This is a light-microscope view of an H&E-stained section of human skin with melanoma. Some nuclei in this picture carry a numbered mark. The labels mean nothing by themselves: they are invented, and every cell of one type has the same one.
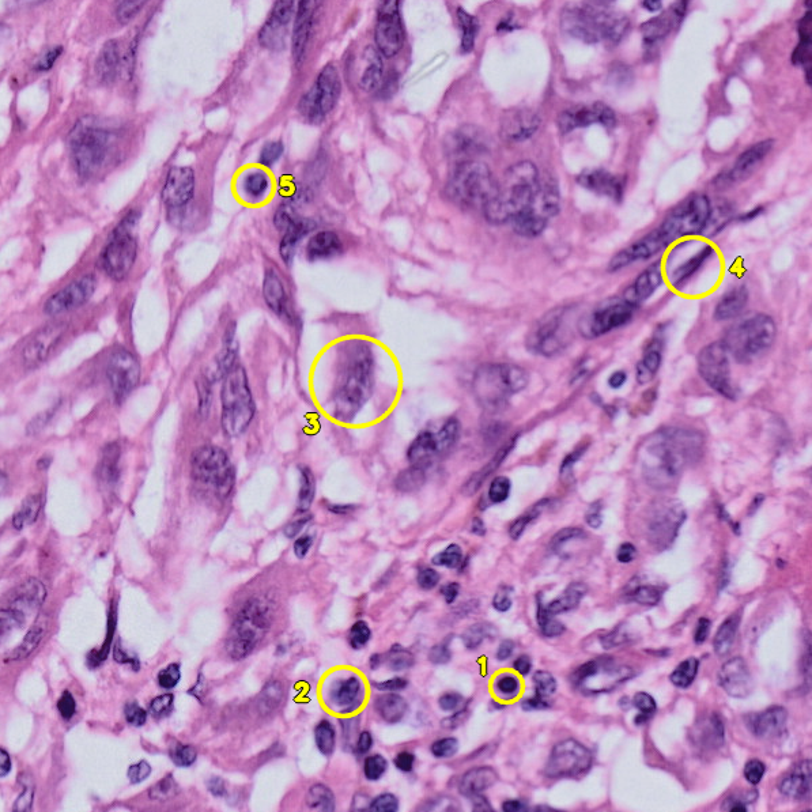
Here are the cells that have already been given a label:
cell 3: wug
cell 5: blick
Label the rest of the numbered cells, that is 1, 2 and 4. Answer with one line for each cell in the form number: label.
1: blick
2: blick
4: wug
